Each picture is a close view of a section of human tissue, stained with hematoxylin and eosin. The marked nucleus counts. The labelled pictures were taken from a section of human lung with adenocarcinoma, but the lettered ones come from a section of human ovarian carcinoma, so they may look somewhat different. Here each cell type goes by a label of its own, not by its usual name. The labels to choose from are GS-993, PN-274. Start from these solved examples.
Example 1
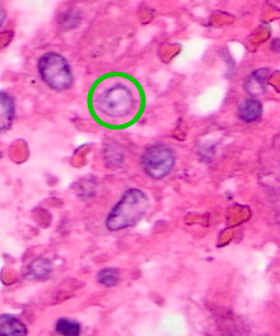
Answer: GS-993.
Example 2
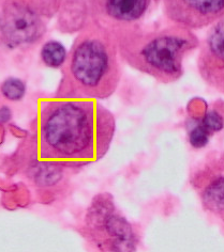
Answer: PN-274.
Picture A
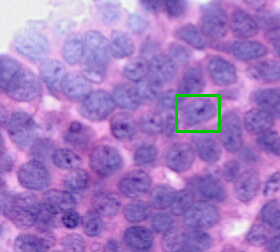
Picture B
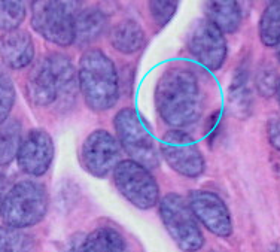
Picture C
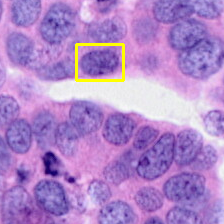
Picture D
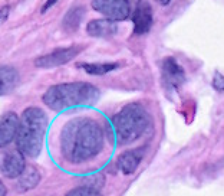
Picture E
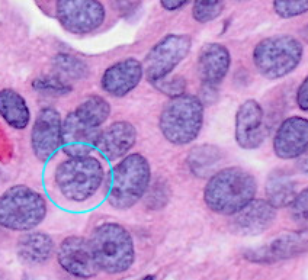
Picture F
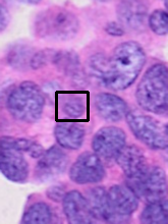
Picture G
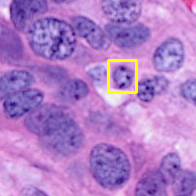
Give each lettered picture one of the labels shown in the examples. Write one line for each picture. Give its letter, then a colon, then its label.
A: PN-274.
B: PN-274.
C: PN-274.
D: PN-274.
E: PN-274.
F: PN-274.
G: GS-993.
